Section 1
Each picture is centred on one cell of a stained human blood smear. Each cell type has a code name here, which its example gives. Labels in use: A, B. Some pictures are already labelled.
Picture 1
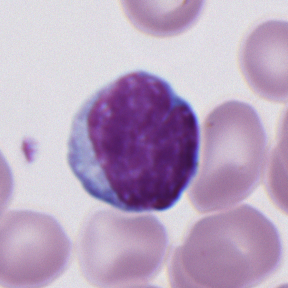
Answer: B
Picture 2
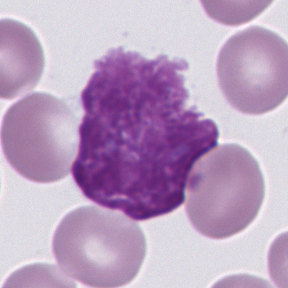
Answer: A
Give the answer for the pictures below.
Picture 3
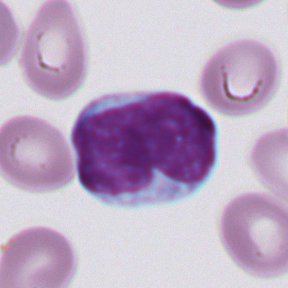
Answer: B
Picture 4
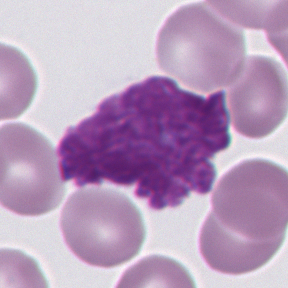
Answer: A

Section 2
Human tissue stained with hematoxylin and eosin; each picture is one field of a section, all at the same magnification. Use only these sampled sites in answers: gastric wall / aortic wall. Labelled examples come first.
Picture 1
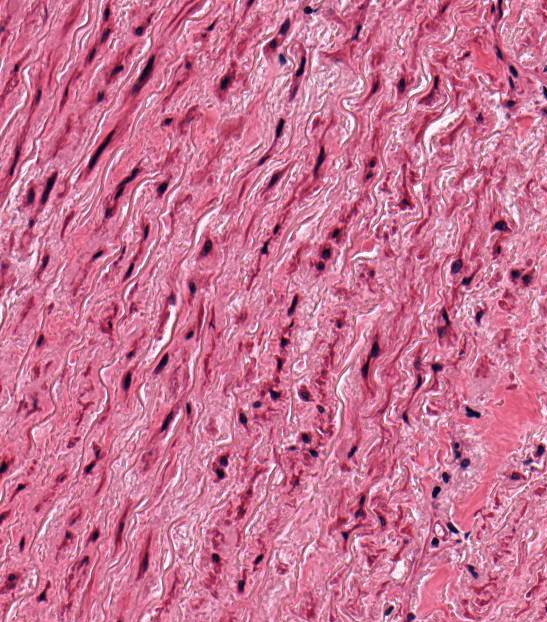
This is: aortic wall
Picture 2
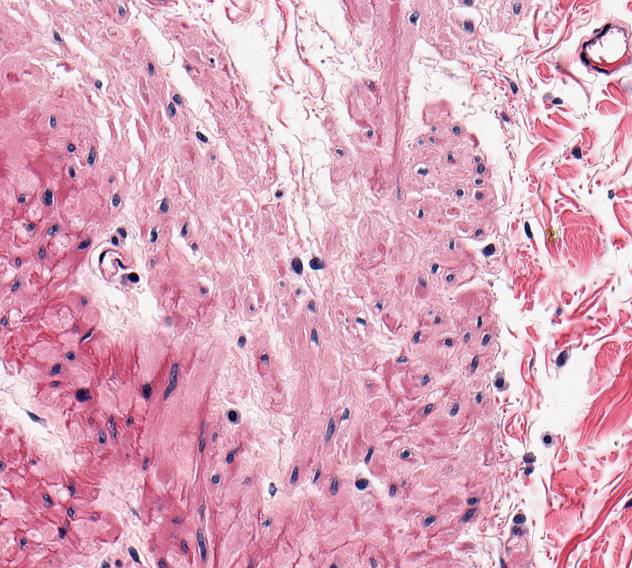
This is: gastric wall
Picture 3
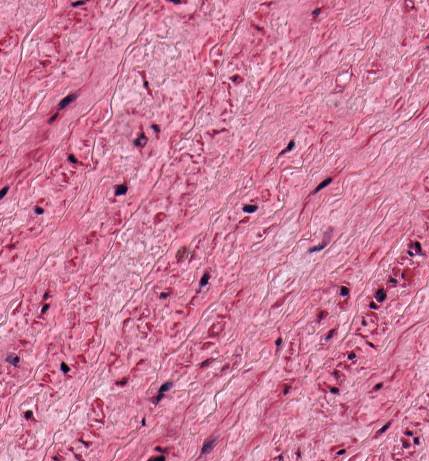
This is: aortic wall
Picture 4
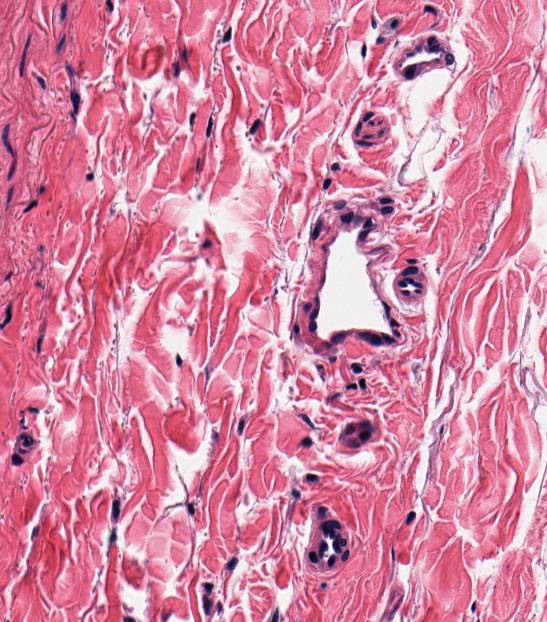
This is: aortic wall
